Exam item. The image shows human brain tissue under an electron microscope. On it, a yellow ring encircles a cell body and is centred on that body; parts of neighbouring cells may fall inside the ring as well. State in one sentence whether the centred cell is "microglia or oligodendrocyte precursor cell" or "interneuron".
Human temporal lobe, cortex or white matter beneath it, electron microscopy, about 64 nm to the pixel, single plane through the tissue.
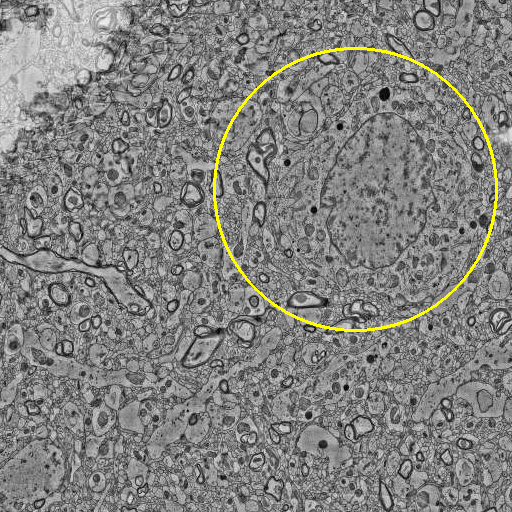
The cell body centred in the ring is an interneuron.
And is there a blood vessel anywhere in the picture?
No, there is none.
